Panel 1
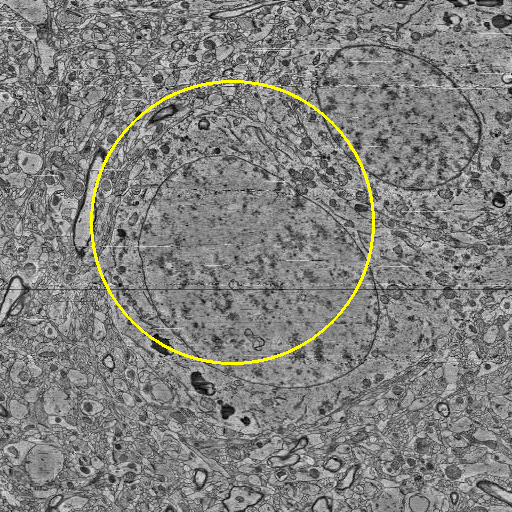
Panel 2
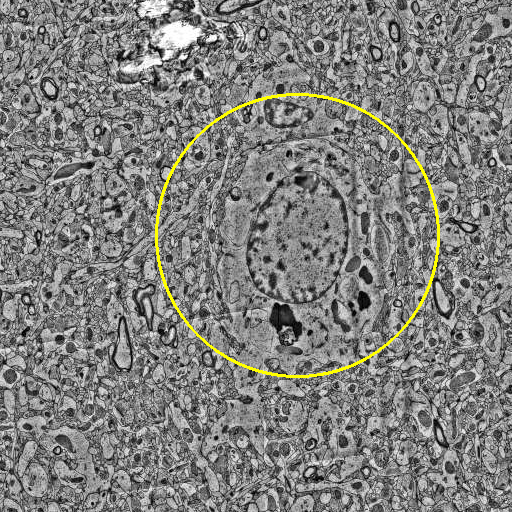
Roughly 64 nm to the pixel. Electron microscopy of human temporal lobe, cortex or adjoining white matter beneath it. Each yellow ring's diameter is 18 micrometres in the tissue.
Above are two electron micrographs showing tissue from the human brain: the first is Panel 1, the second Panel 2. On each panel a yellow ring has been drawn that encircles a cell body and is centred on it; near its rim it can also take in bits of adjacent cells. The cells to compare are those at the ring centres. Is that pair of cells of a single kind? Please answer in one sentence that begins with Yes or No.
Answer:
No, the ring-centred cells of Panel 1 and Panel 2 belong to two kinds.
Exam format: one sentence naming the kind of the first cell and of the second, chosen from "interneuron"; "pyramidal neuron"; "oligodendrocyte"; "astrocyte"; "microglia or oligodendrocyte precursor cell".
The first picture's cell is a pyramidal neuron, and the second picture's cell is an astrocyte.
